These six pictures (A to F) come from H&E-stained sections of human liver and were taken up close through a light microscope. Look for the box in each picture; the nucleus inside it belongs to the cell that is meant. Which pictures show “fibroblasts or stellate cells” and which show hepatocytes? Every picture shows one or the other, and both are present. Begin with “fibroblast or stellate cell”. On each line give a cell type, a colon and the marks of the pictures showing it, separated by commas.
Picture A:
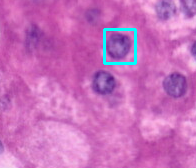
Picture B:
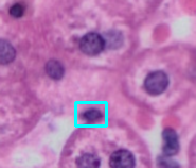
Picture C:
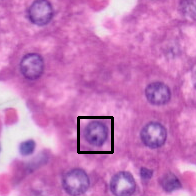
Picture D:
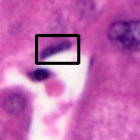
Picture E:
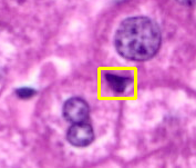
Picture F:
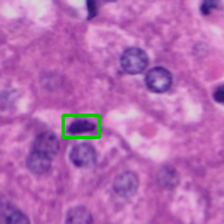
fibroblast or stellate cell: B, D, E, F
hepatocyte: A, C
